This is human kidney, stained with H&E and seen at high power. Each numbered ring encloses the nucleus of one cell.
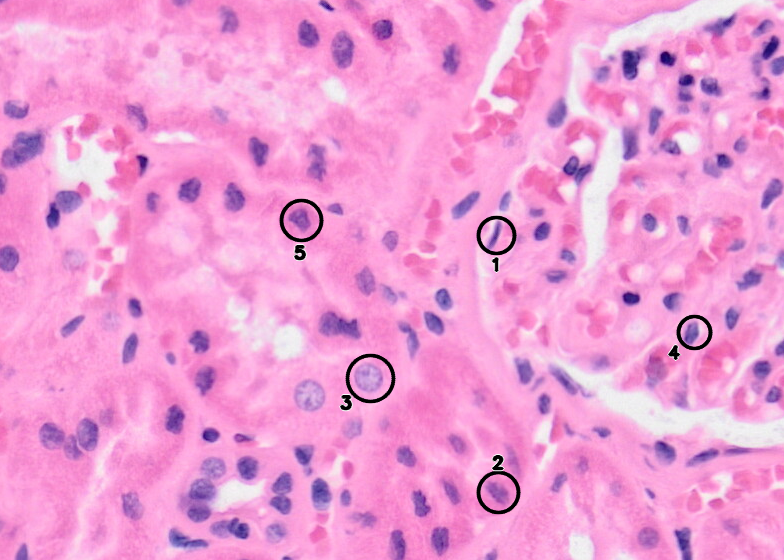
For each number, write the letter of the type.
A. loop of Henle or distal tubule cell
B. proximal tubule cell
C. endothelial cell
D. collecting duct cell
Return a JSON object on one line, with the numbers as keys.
{"1": "C", "2": "B", "3": "B", "4": "C", "5": "B"}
